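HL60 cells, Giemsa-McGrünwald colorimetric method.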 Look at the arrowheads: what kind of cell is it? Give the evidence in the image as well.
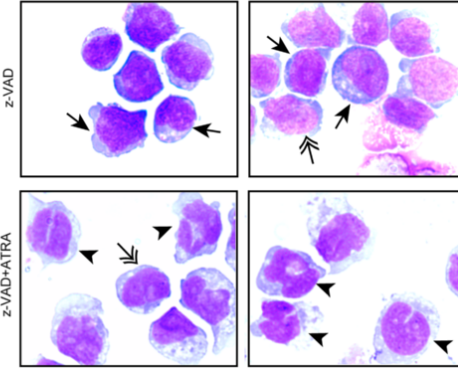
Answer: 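Marked cells have irregular, folded or indented purple nuclei. A broad pale cytoplasm with ragged edges surrounds the nucleus.
Conclusion: mature cells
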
